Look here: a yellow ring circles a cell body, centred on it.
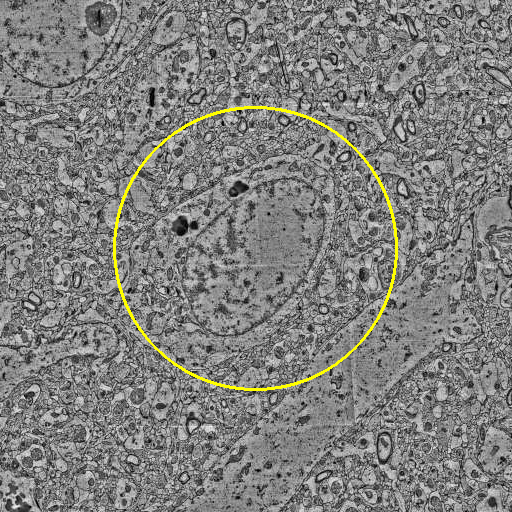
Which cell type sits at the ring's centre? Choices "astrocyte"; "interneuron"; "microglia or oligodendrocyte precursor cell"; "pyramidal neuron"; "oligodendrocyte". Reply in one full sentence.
The cell at the centre of the yellow ring in the picture is an interneuron.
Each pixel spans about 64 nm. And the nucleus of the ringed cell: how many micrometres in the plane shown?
In this plane, about 11 by 7 micrometres: the nucleus is clearly longer than it is wide.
